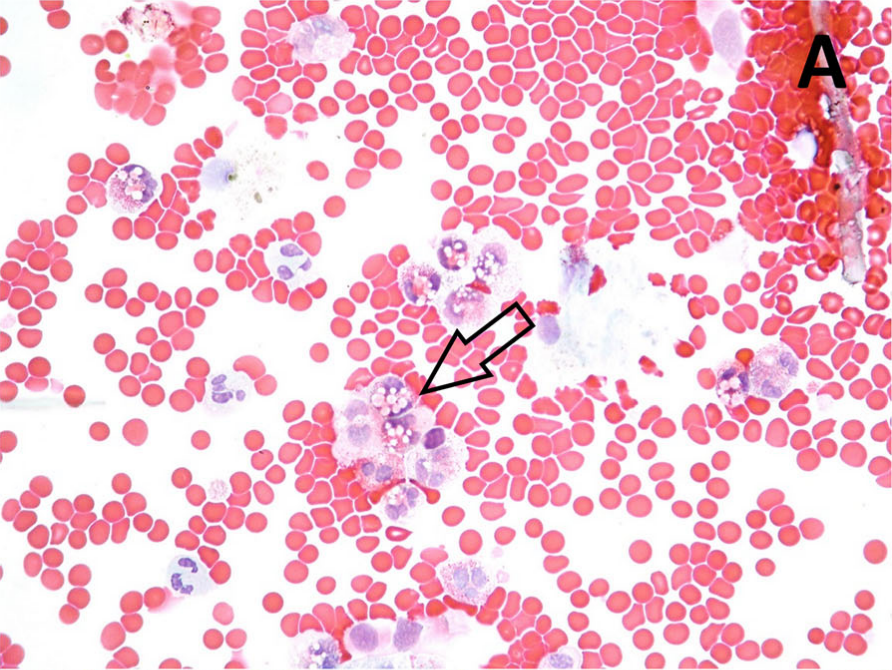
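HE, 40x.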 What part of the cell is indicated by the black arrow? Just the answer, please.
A: Cytoplasmic vacuoles.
